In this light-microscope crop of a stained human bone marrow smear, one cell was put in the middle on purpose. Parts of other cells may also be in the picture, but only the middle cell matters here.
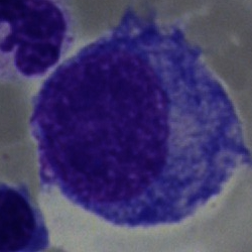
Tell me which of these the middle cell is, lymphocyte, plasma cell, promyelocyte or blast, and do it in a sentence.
Classification of the middle cell gives a promyelocyte.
